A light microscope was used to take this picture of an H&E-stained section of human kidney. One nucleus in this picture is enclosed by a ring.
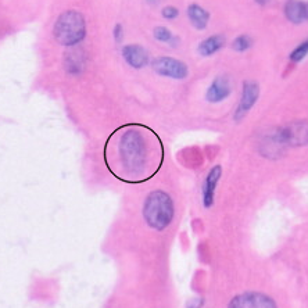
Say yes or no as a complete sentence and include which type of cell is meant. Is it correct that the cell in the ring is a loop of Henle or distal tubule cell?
No, the cell in the ring is not a loop of Henle or distal tubule cell; the correct answer is a proximal tubule cell.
